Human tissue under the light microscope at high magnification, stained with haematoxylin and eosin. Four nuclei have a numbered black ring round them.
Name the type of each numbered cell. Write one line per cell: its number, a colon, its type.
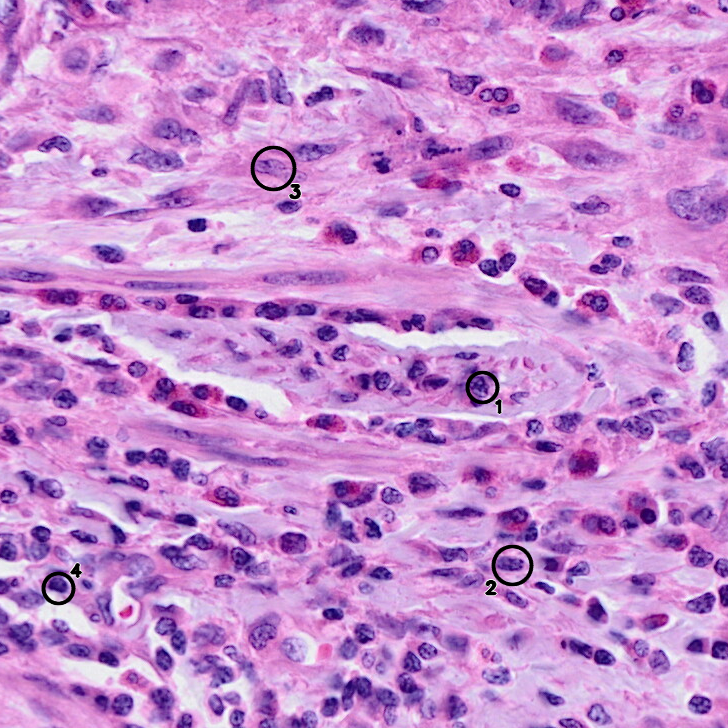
1: lymphocyte
2: lymphocyte
3: endothelial cell
4: lymphocyte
